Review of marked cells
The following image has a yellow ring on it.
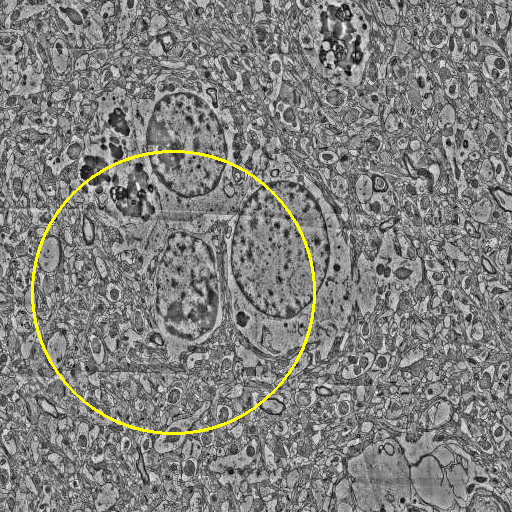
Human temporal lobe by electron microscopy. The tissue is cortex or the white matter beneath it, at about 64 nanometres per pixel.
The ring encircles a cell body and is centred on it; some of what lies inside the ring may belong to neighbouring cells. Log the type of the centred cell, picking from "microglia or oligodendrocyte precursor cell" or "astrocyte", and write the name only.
microglia or oligodendrocyte precursor cell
